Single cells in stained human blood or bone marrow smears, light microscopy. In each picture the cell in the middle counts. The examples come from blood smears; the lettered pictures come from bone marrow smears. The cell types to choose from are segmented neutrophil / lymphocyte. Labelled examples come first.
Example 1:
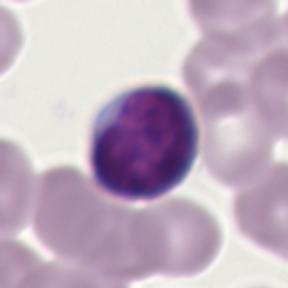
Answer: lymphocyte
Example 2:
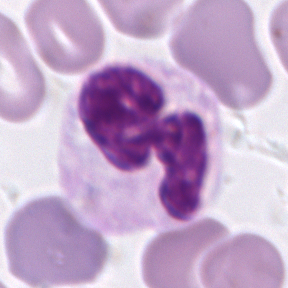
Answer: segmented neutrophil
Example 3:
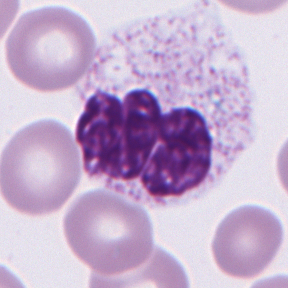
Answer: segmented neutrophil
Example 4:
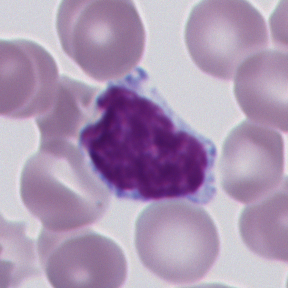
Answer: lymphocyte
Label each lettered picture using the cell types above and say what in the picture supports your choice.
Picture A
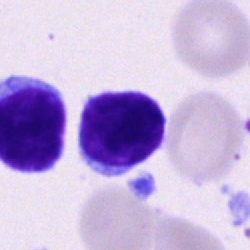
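lymphocyte. Reason: The cytoplasm is scant, forming only a thin rim.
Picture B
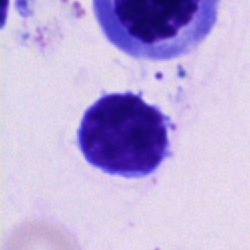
lymphocyte. Reason: Hardly any cytoplasm is visible around the nucleus.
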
